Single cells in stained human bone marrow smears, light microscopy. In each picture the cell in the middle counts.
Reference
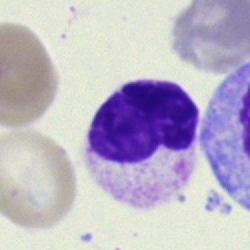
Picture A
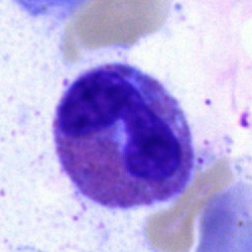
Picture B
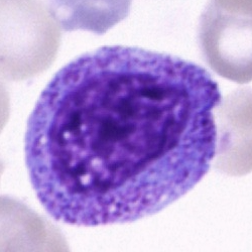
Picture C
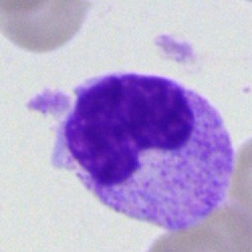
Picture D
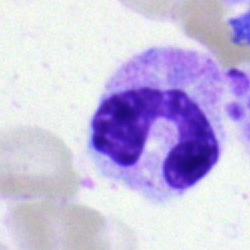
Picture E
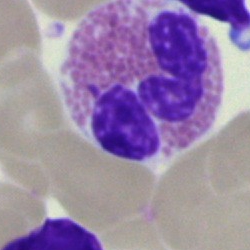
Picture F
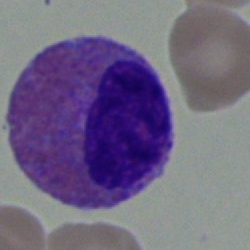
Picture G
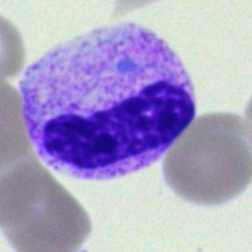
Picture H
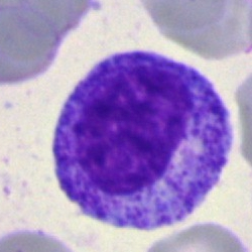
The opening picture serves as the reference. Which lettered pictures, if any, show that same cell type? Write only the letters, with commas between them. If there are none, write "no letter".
C, D, G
